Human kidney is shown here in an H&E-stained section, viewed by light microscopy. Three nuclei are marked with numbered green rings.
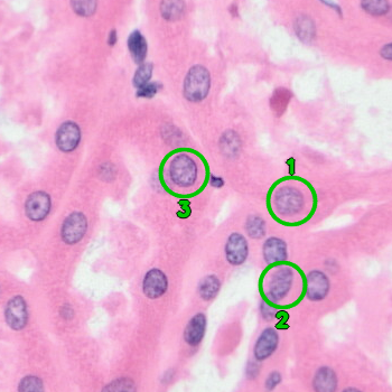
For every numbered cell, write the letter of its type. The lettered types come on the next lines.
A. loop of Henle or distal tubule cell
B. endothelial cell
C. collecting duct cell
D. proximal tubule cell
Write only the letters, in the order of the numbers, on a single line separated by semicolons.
D; C; D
